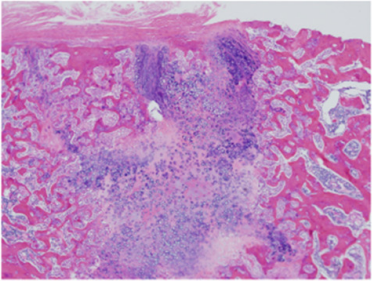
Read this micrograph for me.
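The central zone stains purple and is crowded with cells in a paler matrix, with a few darker purple streaks near the upper surface. On either side lies pink-staining bone arranged as irregular trabeculae with intervening spaces. The bony tissue does not yet bridge the centre of the gap, which remains cellular and non-mineralised in appearance.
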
